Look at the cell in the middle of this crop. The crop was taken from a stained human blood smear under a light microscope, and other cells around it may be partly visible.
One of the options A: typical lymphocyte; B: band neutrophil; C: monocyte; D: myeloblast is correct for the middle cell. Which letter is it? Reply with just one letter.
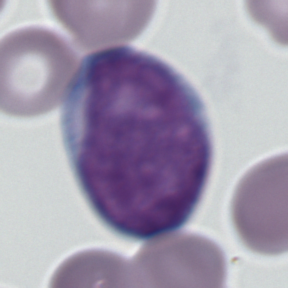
D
